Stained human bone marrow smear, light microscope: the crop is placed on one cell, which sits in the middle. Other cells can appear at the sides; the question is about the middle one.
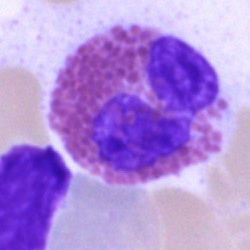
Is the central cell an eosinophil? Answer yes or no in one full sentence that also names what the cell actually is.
Yes, an eosinophil is what the central cell is.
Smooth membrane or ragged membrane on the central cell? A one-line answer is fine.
Smooth outline, no projections: that is the whole story of its edge.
